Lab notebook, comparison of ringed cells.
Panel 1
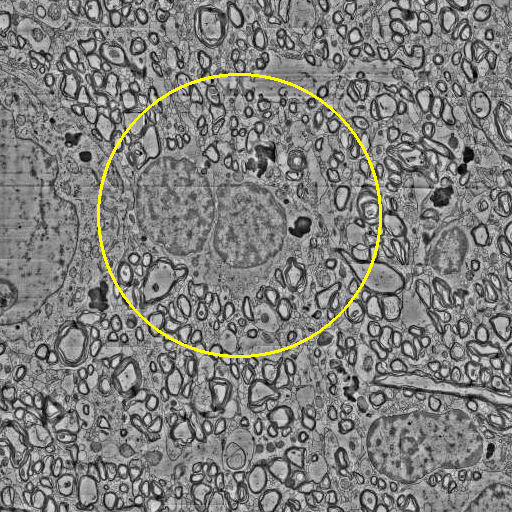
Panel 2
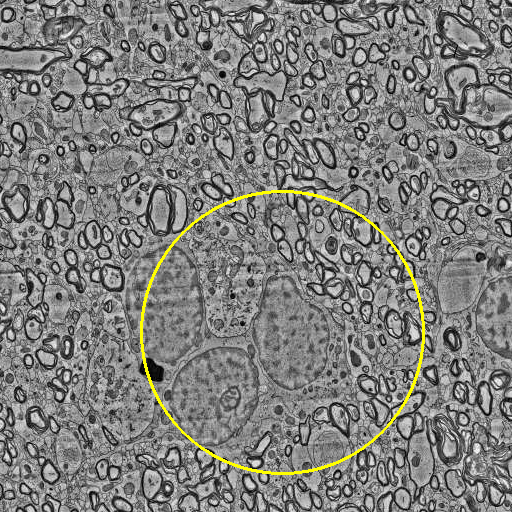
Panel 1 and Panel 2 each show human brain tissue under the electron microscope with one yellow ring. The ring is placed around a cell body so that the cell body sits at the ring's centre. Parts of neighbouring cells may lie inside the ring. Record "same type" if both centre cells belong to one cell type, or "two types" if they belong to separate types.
same type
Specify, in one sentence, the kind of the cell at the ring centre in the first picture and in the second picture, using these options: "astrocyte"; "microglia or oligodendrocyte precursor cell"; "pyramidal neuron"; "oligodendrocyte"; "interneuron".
The cell in the first picture is an oligodendrocyte, and so is the one in the second.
